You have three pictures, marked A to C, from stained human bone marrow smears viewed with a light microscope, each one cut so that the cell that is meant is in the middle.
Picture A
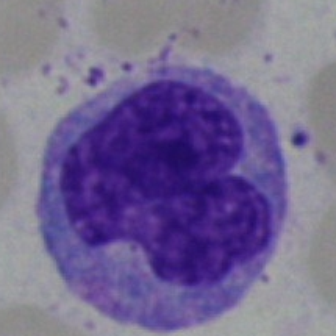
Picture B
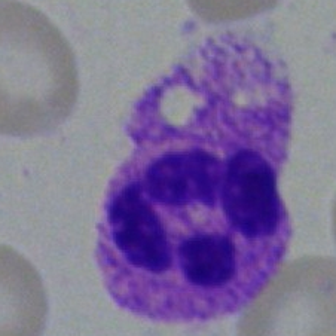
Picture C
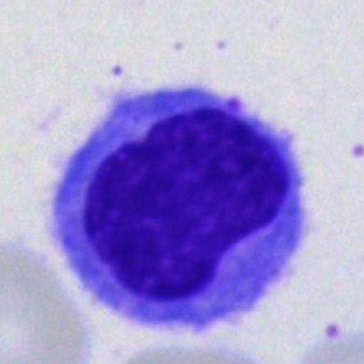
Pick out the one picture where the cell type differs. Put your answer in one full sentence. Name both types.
Picture B is the odd one out: it shows a segmented neutrophil, while the others show monocytes.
